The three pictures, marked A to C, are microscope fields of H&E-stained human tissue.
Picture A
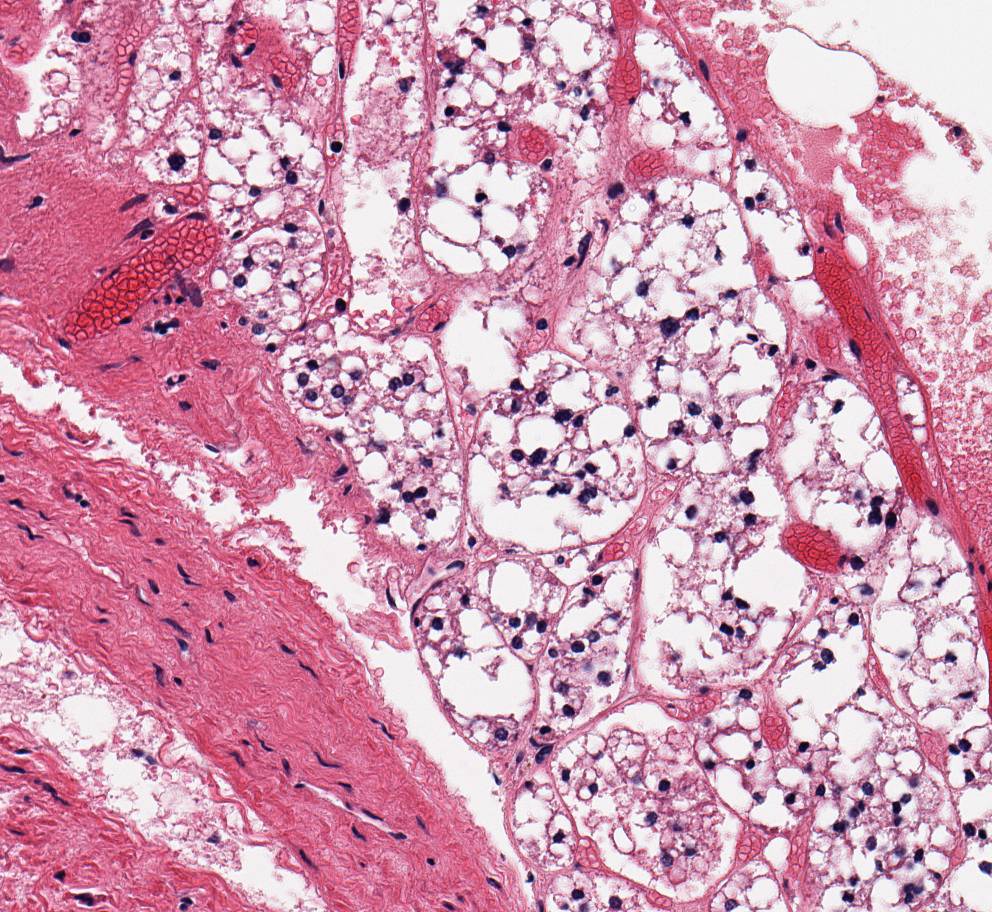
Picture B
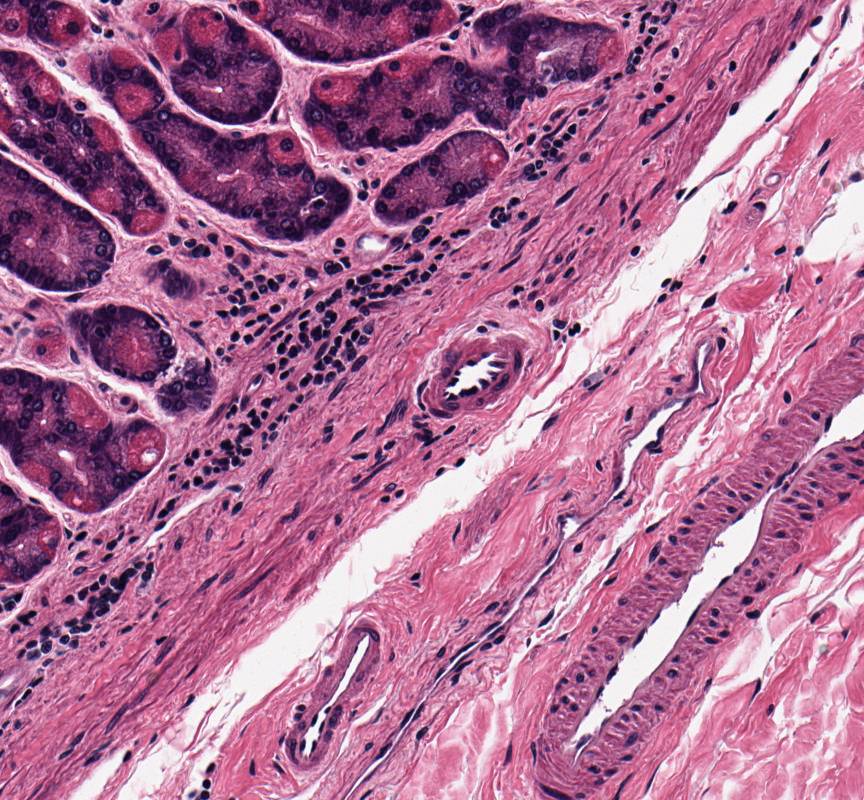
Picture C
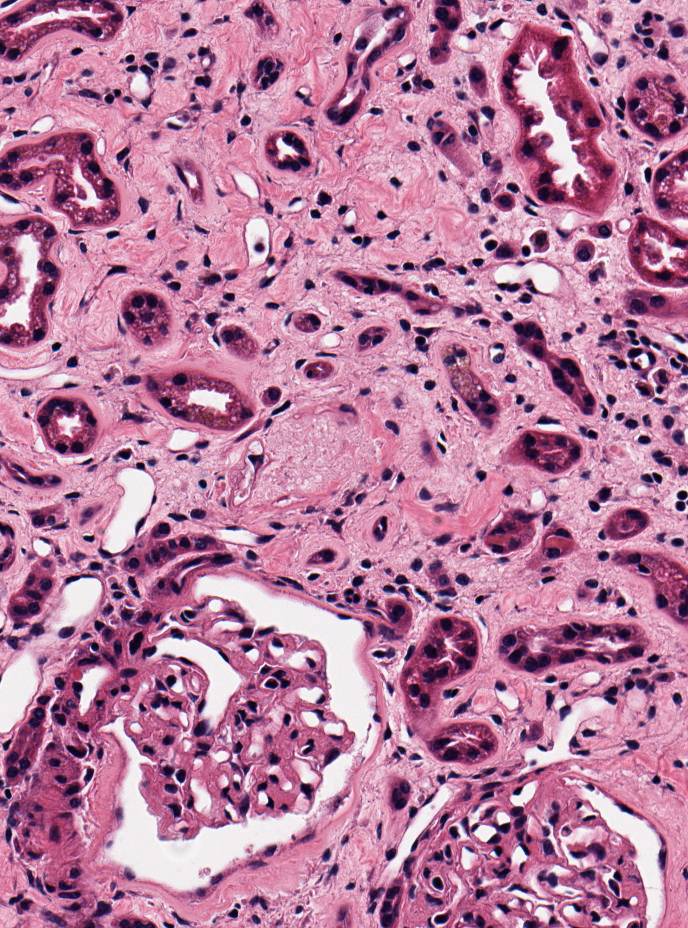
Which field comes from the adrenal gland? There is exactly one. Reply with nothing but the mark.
A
